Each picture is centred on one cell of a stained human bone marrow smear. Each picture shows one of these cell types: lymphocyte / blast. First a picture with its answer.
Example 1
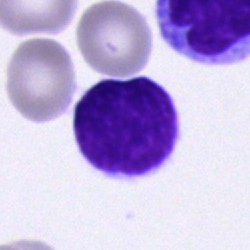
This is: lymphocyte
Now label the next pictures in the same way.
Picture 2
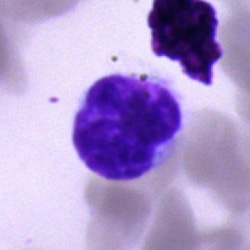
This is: lymphocyte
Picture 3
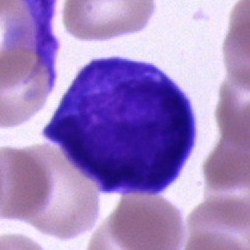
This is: blast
